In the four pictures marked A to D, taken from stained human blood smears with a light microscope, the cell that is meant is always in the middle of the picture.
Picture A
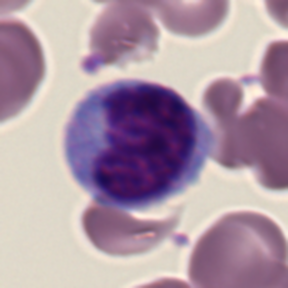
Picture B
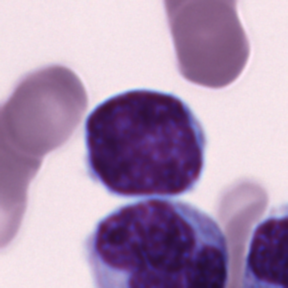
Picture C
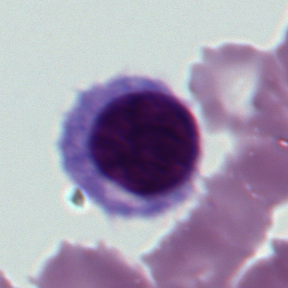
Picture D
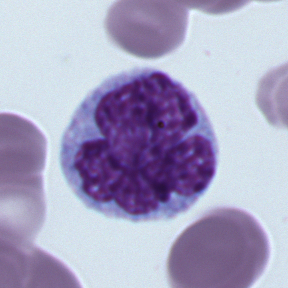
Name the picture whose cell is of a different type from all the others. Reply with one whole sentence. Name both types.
The different one is picture C; it shows a hairy cell, whereas all the others show monocytes.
